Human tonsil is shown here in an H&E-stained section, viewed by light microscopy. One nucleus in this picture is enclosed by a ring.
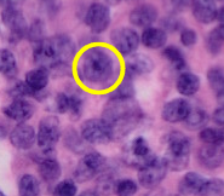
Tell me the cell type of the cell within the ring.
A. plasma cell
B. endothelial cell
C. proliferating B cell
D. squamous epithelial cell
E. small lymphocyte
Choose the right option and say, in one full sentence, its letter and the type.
Identified correctly by option C, the cell within the ring is a proliferating B cell.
